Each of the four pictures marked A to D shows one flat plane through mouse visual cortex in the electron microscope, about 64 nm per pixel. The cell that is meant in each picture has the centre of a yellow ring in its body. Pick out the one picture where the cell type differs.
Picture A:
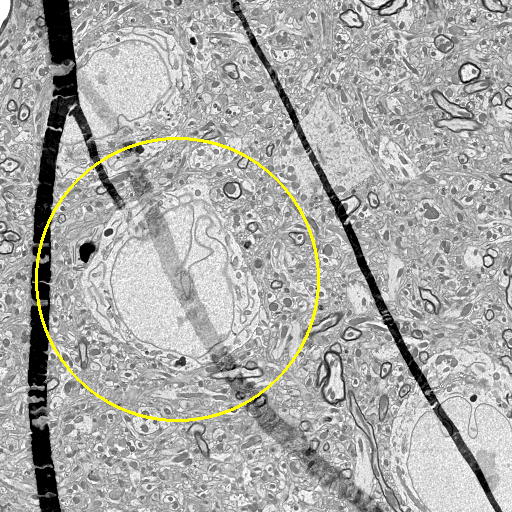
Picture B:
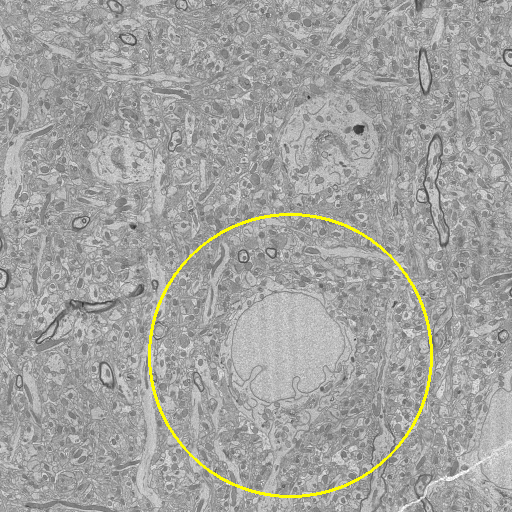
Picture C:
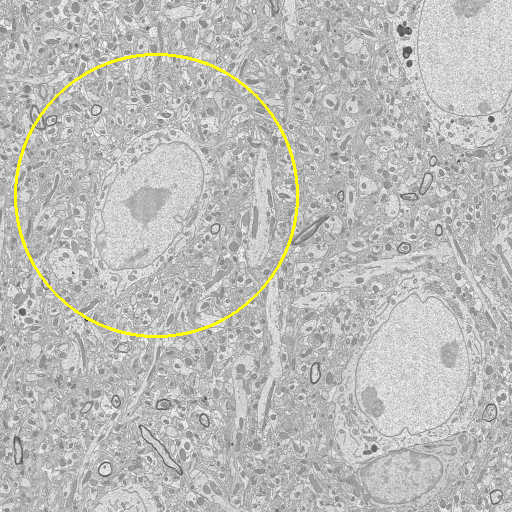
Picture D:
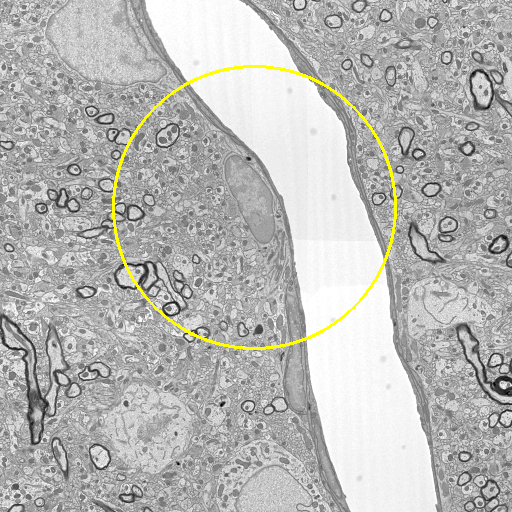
The different one is picture D; it shows a microglial cell, whereas all the others show inhibitory neurons.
